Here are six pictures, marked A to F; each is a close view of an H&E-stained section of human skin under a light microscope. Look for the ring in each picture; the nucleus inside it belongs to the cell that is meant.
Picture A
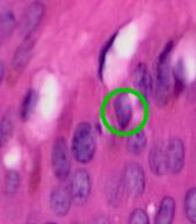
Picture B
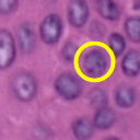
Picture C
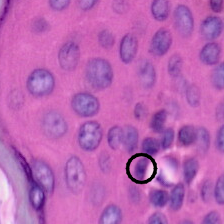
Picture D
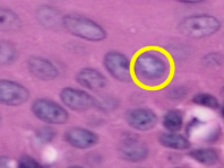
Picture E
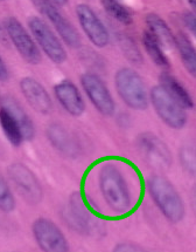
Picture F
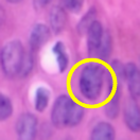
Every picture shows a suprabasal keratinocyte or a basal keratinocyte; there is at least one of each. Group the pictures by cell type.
A: basal keratinocyte
B: suprabasal keratinocyte
C: basal keratinocyte
D: suprabasal keratinocyte
E: suprabasal keratinocyte
F: basal keratinocyte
